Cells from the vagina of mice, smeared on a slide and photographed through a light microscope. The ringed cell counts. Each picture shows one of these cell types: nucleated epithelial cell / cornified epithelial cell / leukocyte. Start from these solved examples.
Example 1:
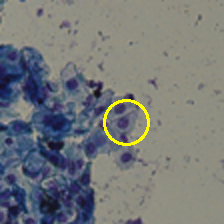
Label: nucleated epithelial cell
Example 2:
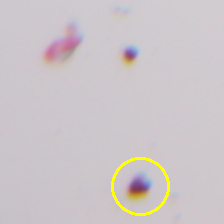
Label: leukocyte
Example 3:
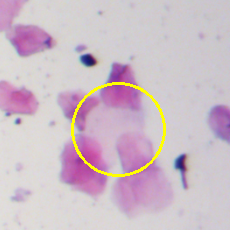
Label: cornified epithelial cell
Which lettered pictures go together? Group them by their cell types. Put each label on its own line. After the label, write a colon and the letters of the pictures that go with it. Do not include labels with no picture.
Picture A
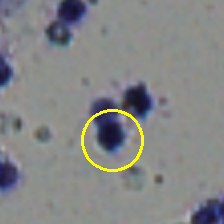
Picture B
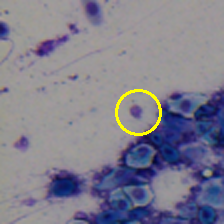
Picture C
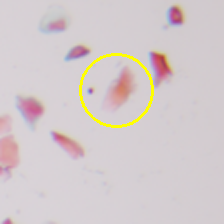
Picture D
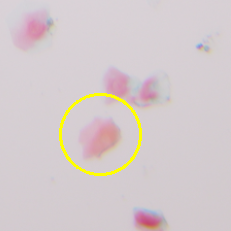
cornified epithelial cell: C, D
leukocyte: A, B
